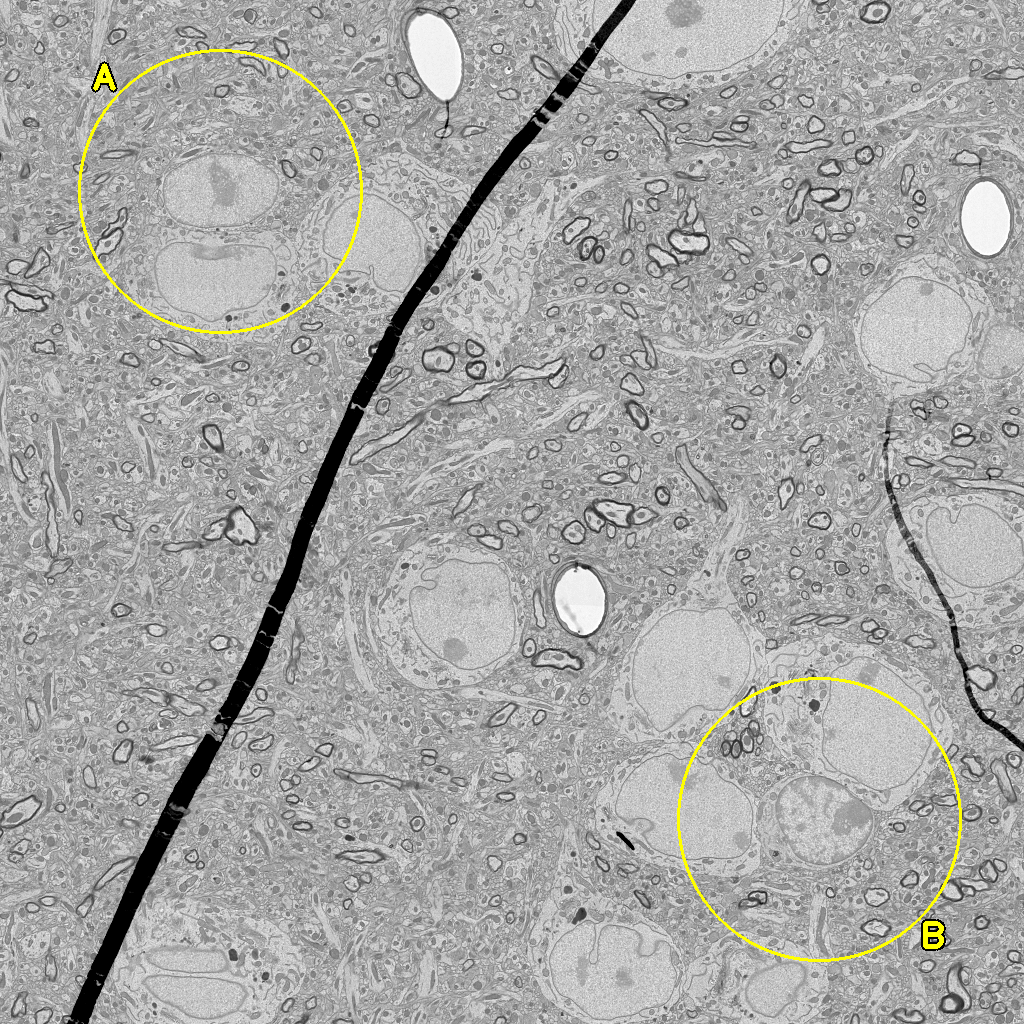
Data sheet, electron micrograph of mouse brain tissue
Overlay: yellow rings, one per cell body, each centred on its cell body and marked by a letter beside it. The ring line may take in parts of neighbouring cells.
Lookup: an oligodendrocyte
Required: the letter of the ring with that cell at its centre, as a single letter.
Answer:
B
